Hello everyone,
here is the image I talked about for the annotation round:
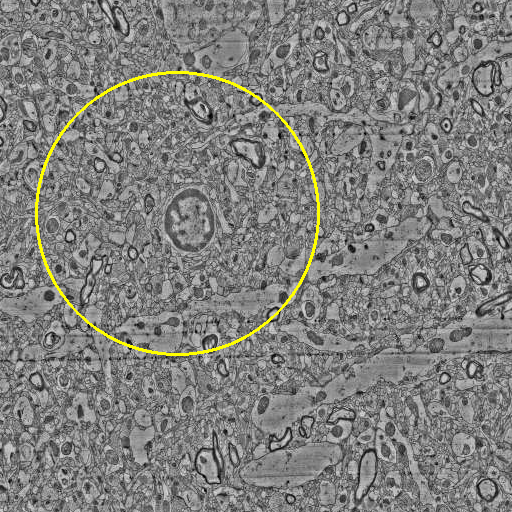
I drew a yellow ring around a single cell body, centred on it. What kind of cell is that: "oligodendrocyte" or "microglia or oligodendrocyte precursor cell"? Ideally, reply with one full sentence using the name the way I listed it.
The cell your yellow ring is centred on is a microglial cell or oligodendrocyte precursor cell, going by your list.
